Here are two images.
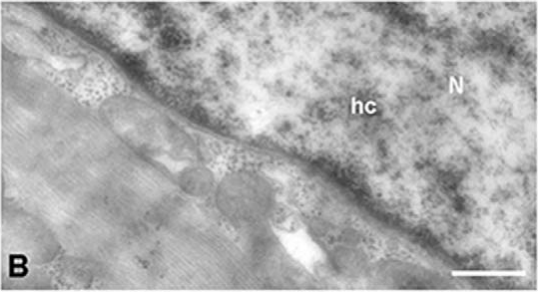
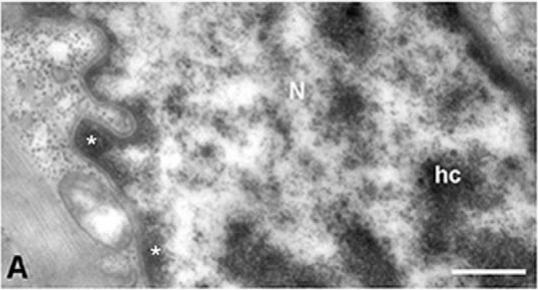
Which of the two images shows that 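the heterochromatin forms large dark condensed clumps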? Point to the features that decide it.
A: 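First image: the chromatin is finely granular and dispersed with only faint darker patches. Second image: large, sharply dark chromatin clumps lie scattered through the nucleus. That points to this answer: the second image.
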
